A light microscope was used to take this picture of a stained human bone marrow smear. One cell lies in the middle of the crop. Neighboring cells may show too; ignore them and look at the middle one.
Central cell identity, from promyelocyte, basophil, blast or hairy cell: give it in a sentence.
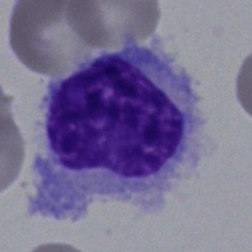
The centered cell in this crop is a hairy cell.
